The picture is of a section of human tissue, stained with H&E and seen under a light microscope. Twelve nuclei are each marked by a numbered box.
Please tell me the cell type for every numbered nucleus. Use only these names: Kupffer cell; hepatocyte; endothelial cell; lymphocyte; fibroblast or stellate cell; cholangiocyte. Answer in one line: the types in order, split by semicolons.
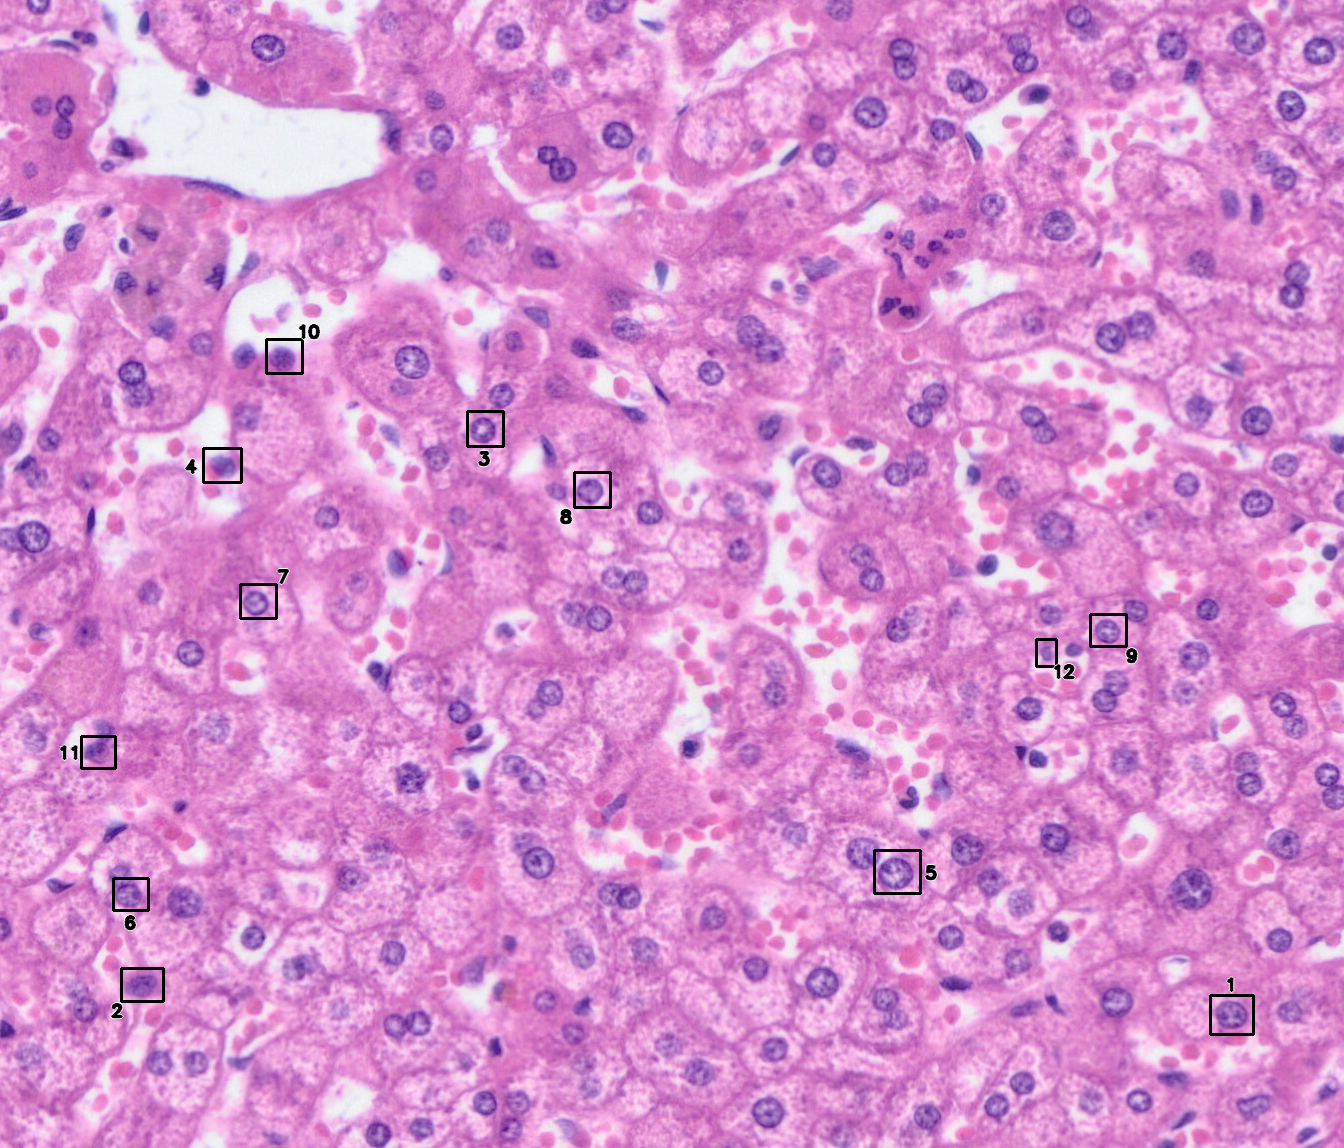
hepatocyte; Kupffer cell; hepatocyte; endothelial cell; hepatocyte; hepatocyte; hepatocyte; hepatocyte; hepatocyte; endothelial cell; Kupffer cell; Kupffer cell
